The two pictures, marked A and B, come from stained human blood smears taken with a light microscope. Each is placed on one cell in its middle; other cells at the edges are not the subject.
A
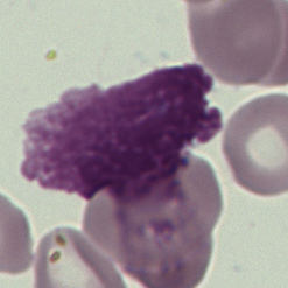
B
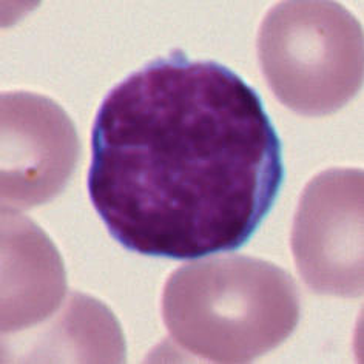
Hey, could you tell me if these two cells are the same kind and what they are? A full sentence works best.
No, crop A shows a smudge cell, whereas a typical lymphocyte is what crop B shows.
